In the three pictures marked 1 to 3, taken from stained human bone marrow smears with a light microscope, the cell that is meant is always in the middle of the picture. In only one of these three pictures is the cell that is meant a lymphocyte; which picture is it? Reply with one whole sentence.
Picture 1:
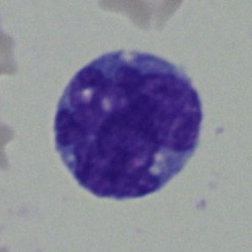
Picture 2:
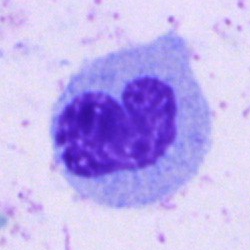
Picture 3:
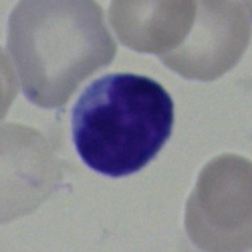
Picture 3 shows the lymphocyte.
